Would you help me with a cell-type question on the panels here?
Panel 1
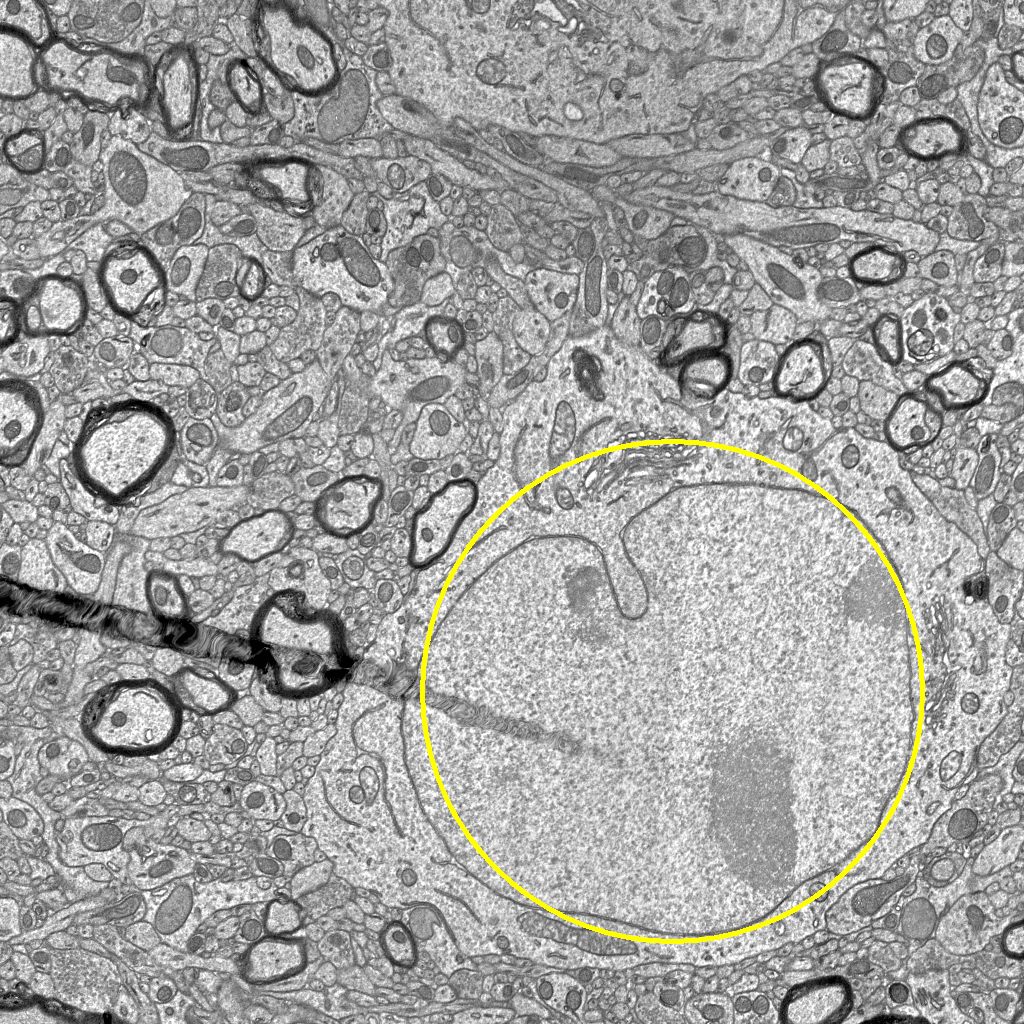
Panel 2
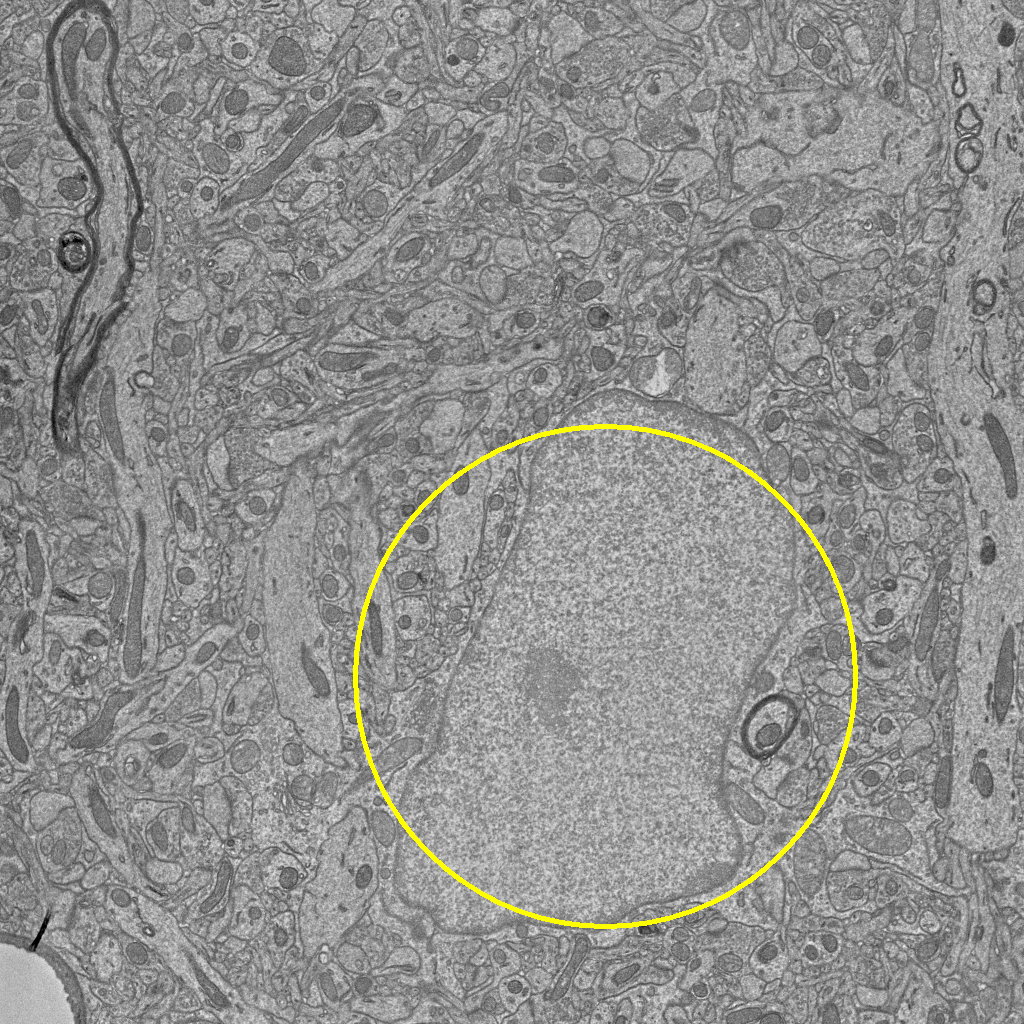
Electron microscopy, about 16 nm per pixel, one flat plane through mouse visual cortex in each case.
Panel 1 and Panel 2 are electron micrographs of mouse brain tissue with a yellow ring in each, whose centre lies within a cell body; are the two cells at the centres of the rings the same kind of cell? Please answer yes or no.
no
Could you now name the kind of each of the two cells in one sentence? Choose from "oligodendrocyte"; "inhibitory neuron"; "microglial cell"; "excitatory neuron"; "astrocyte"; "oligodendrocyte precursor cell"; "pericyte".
The first picture has an excitatory neuron in its ring, the second has an astrocyte.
